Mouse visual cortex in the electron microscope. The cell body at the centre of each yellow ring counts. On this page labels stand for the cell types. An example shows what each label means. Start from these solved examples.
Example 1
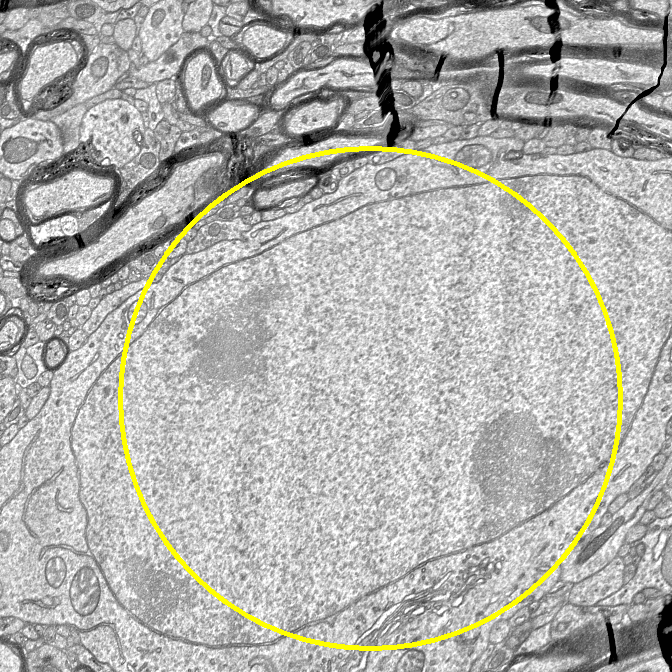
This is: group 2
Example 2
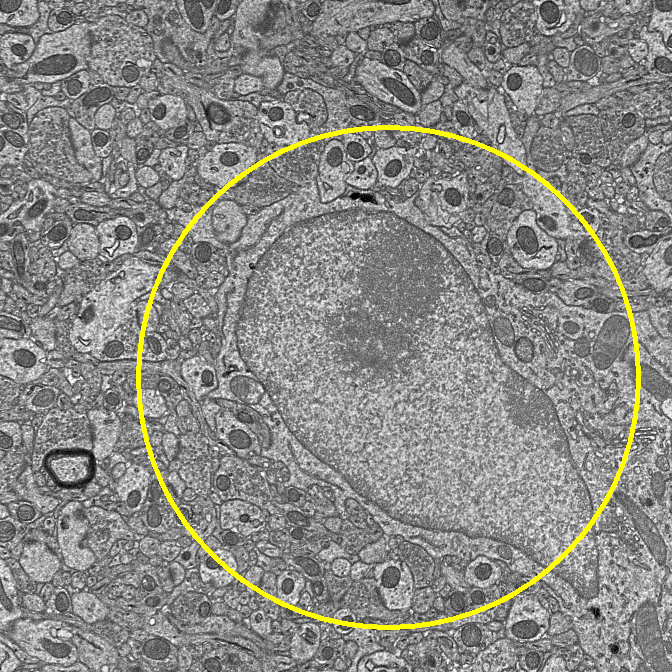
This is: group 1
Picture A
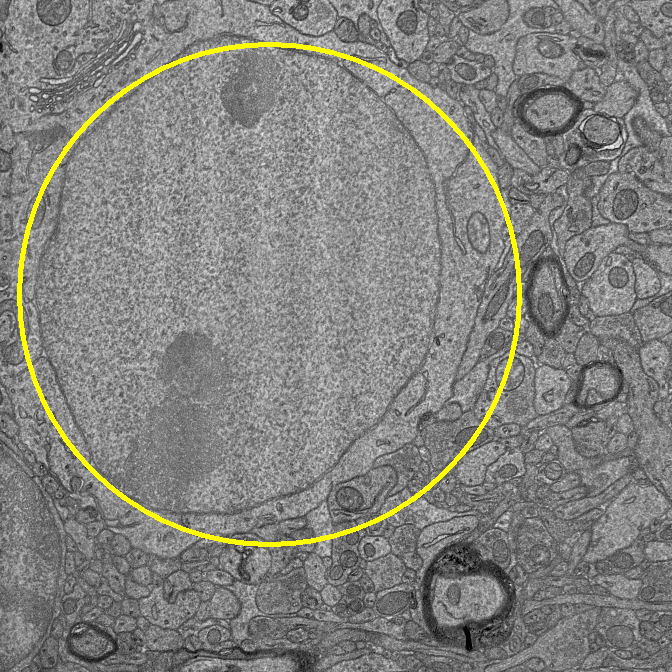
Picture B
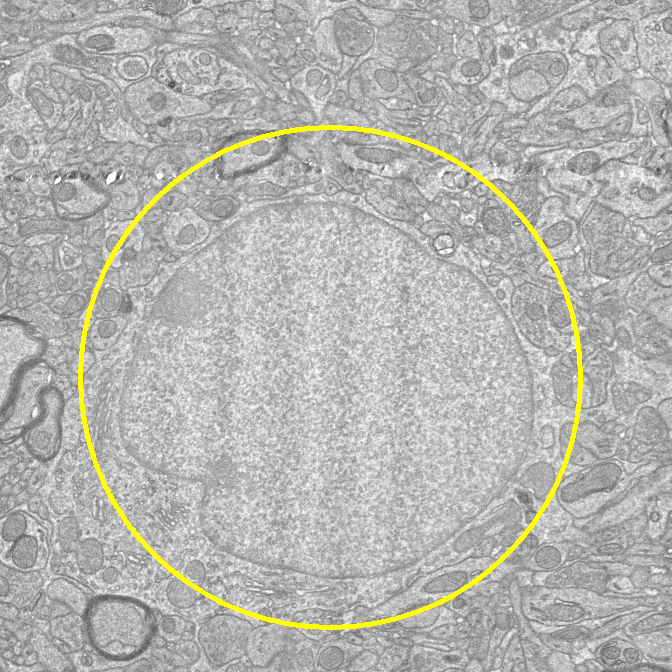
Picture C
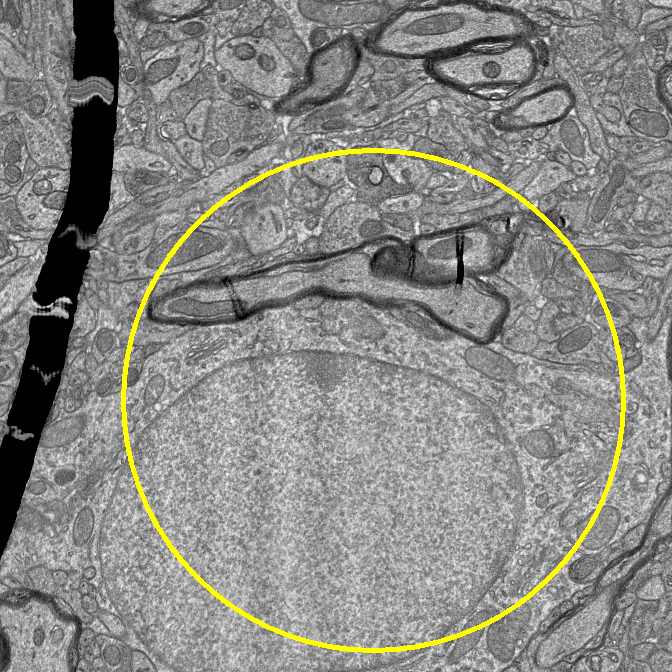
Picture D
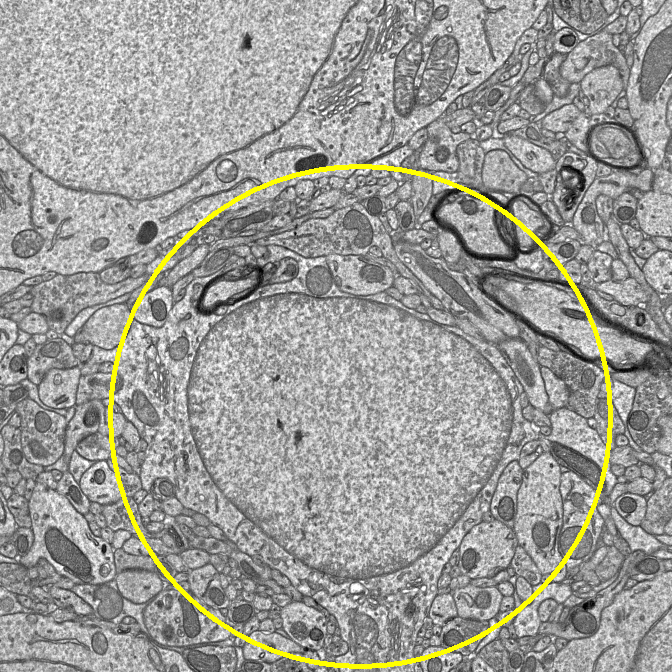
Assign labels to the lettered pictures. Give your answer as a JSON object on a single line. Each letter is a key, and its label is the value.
{"A": "group 2", "B": "group 1", "C": "group 1", "D": "group 1"}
